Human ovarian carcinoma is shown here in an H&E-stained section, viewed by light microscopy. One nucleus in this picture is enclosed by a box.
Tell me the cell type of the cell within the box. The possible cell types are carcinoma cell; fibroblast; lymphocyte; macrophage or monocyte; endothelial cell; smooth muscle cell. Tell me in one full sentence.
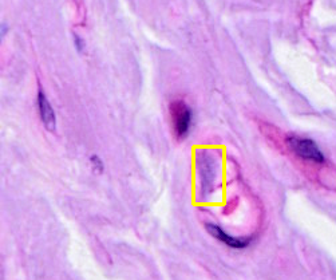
Cell type answer for this item: the cell within the box is an endothelial cell.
